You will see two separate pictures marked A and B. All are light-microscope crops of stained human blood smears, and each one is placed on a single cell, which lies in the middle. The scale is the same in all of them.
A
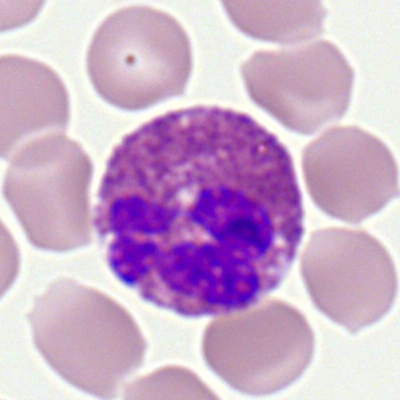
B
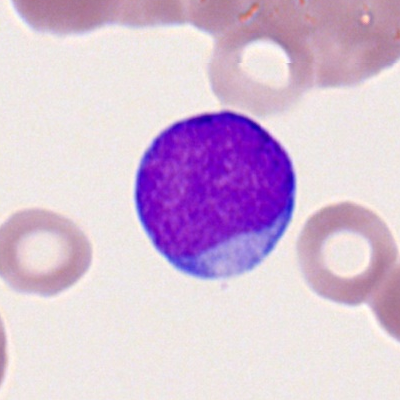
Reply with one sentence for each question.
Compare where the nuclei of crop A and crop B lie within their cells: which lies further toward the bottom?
The nucleus in crop A lies further toward the bottom of its cell.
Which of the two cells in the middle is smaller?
Smaller is the cell in crop B, and the other is about 1.5 times as large in area.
